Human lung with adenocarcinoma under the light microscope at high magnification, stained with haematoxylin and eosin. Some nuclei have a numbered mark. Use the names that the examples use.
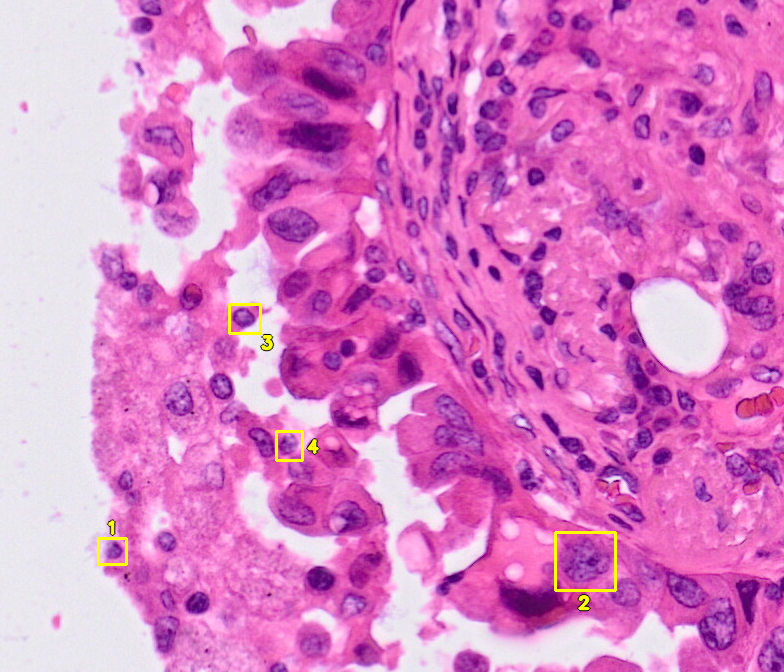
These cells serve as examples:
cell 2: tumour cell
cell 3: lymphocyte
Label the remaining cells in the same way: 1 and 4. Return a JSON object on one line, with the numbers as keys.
{"1": "lymphocyte", "4": "lymphocyte"}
